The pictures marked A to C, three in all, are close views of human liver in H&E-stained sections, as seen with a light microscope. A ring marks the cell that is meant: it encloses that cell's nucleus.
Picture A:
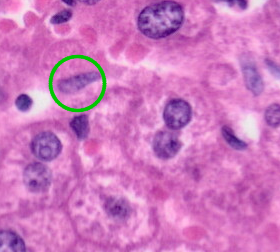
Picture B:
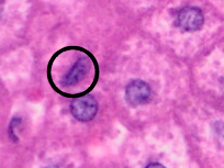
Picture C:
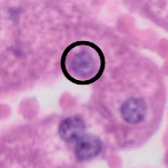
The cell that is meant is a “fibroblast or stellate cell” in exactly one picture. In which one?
B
